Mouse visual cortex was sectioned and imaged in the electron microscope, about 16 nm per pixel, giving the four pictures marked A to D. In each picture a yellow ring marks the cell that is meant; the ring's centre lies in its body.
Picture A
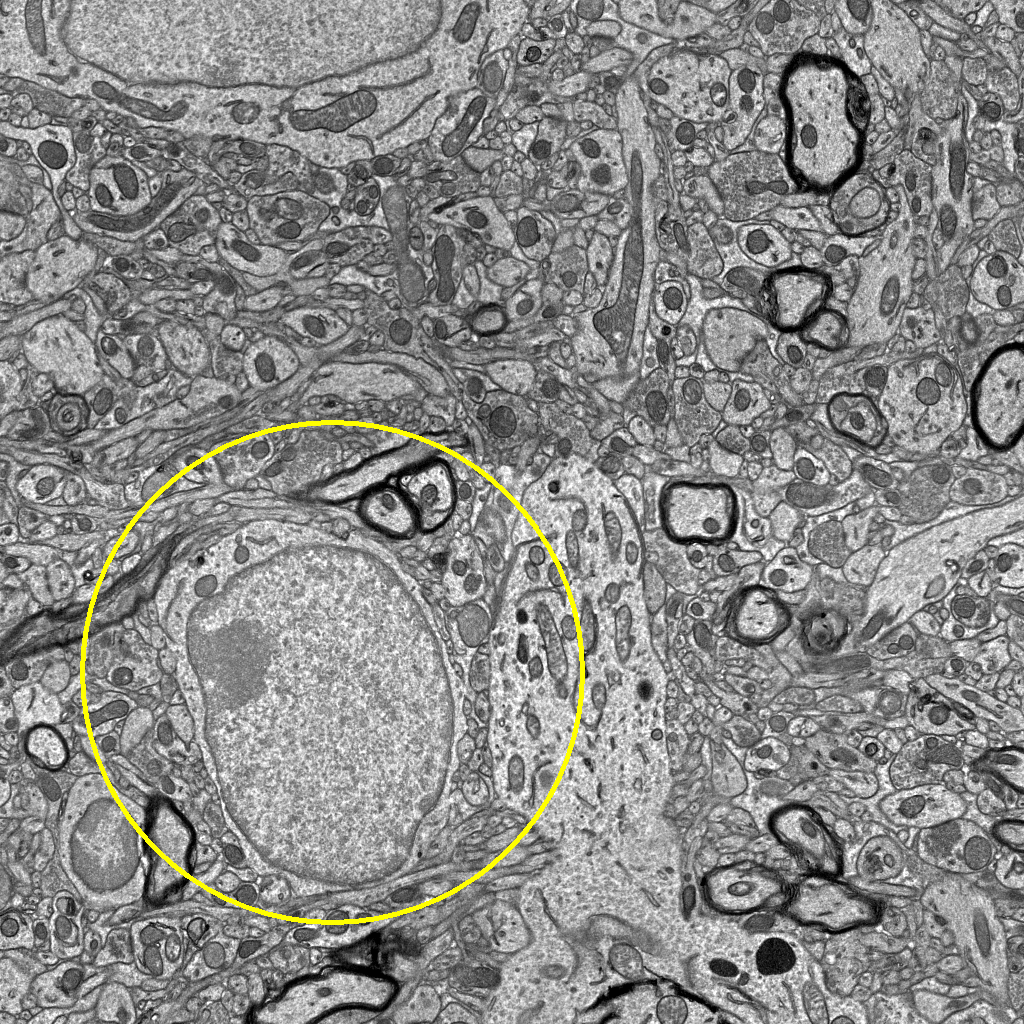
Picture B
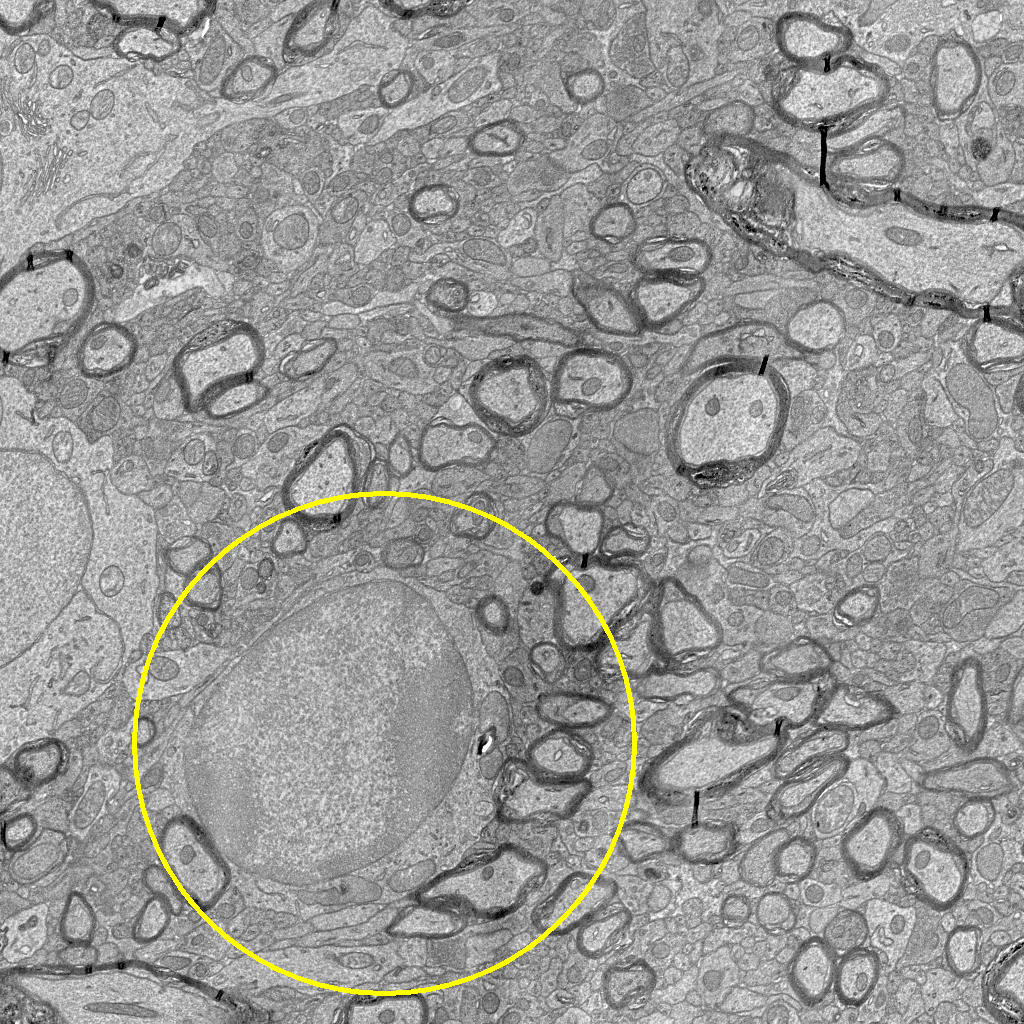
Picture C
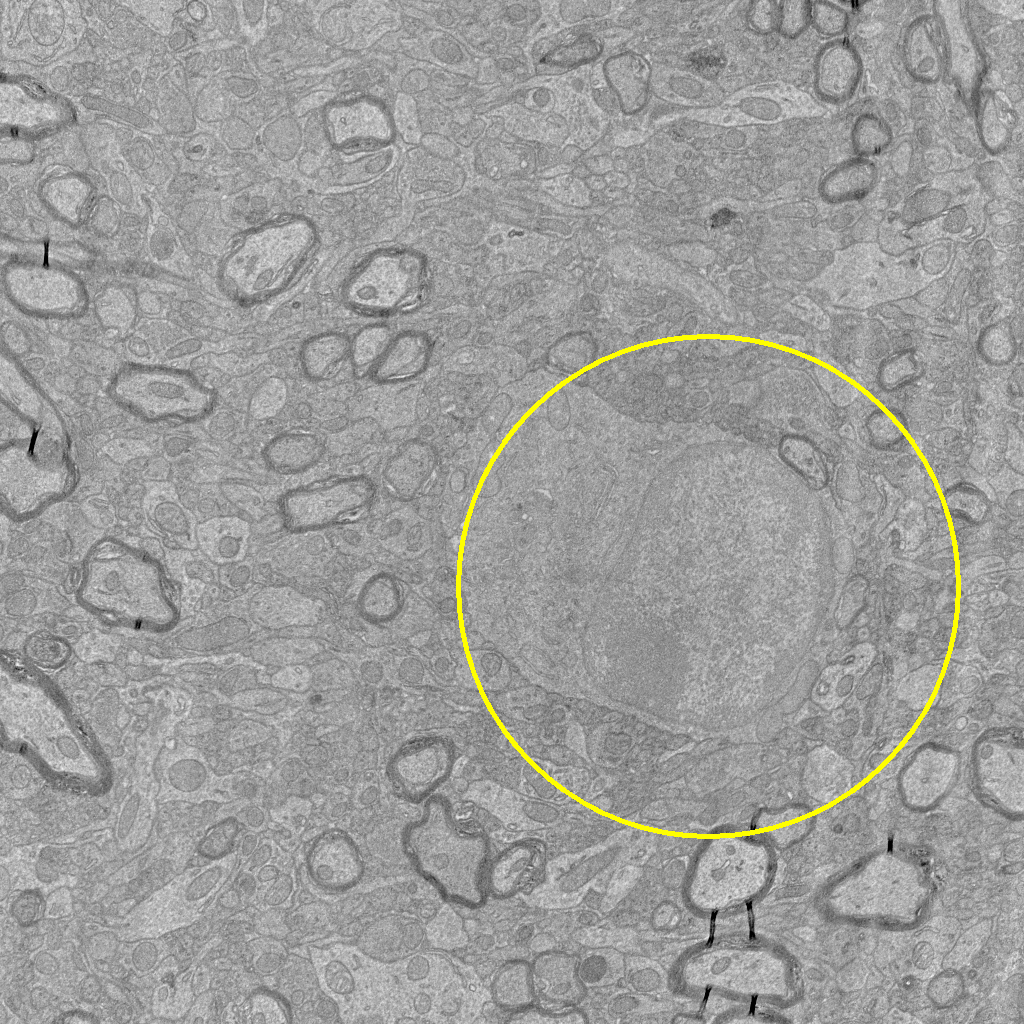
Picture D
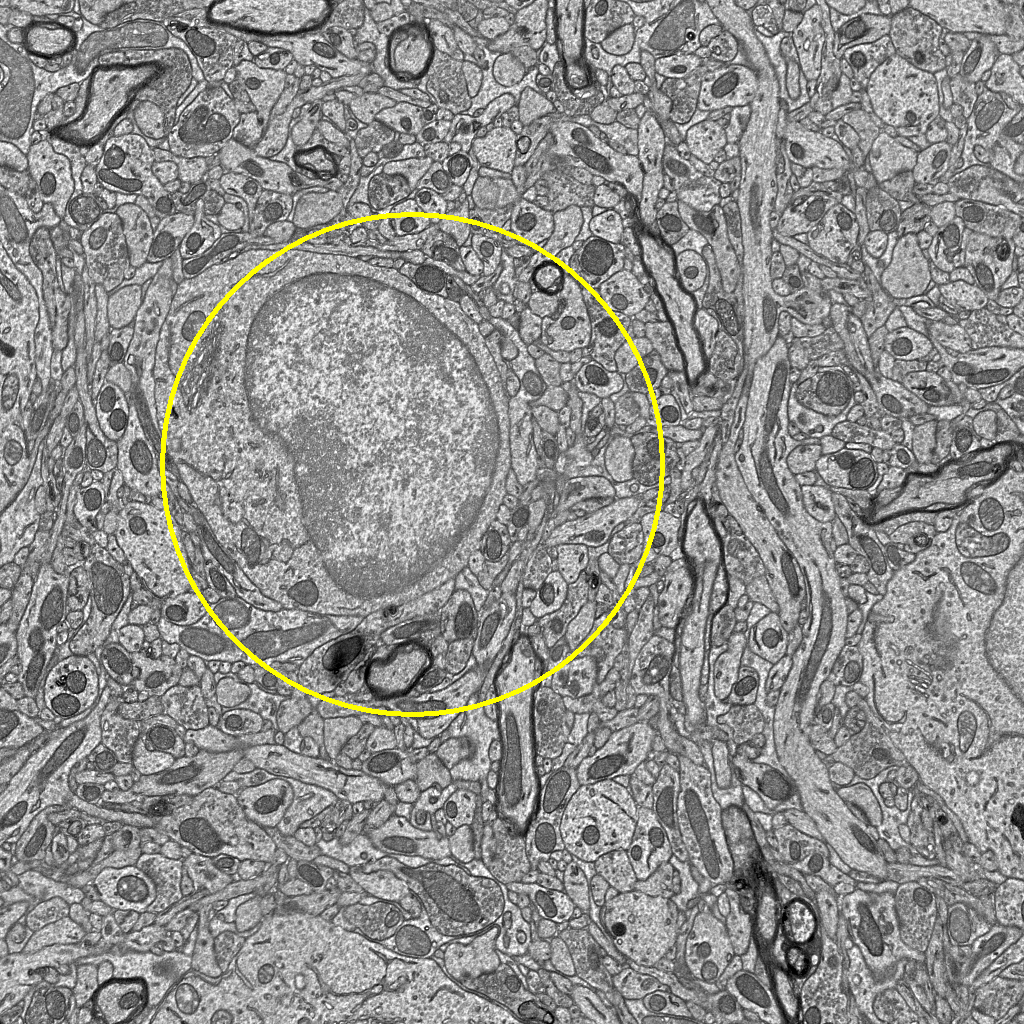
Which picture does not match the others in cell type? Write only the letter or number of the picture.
A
